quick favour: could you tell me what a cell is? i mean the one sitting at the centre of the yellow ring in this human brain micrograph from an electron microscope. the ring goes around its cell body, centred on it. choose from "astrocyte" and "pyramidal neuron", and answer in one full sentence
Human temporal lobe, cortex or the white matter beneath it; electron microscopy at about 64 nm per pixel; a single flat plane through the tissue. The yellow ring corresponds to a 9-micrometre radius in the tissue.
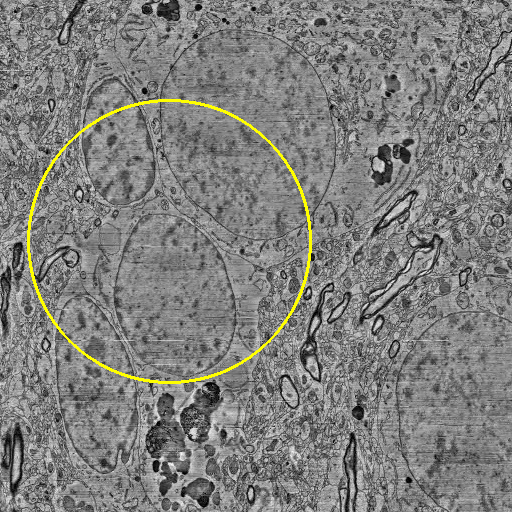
That's an astrocyte, the cell sitting at the centre of the yellow ring.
